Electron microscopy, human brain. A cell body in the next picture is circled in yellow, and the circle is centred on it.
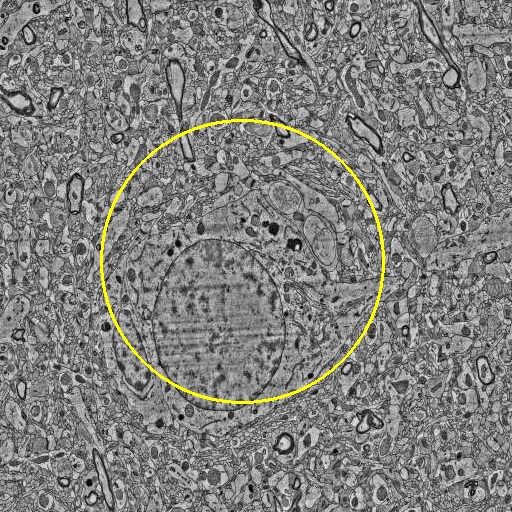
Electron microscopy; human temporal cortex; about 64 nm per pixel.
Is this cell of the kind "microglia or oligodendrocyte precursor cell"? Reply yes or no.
no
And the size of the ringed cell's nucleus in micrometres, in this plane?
The nucleus has a long axis of about 11 micrometres and a short axis of about 9 micrometres in this plane.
